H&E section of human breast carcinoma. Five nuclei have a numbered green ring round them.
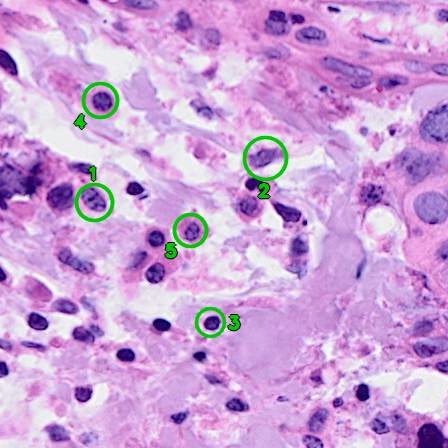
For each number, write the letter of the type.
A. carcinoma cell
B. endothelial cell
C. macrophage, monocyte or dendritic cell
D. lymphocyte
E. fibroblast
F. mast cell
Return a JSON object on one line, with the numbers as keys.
{"1": "F", "2": "E", "3": "D", "4": "F", "5": "F"}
